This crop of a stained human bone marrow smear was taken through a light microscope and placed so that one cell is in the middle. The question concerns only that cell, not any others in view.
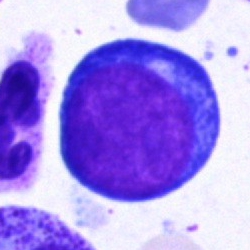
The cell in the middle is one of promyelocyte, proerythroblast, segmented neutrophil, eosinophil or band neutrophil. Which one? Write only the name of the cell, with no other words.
proerythroblast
